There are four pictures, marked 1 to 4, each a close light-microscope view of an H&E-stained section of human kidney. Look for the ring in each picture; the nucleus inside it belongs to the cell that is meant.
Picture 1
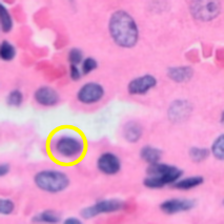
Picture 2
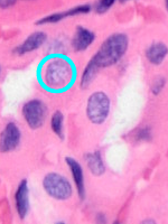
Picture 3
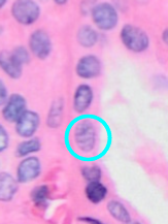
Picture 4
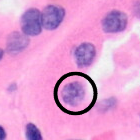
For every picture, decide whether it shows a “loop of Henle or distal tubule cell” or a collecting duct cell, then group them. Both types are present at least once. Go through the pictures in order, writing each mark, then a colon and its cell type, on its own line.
1: loop of Henle or distal tubule cell
2: collecting duct cell
3: collecting duct cell
4: loop of Henle or distal tubule cell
